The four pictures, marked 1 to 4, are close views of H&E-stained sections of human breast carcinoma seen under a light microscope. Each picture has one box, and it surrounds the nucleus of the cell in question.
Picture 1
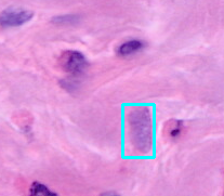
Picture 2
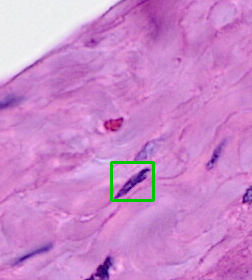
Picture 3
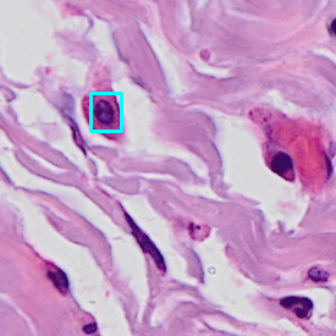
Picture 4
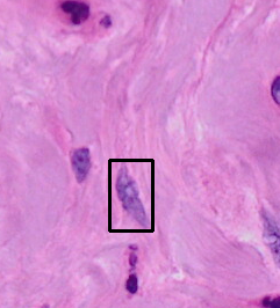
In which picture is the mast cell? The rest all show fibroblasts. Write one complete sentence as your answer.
It is picture 3 that shows the mast cell.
